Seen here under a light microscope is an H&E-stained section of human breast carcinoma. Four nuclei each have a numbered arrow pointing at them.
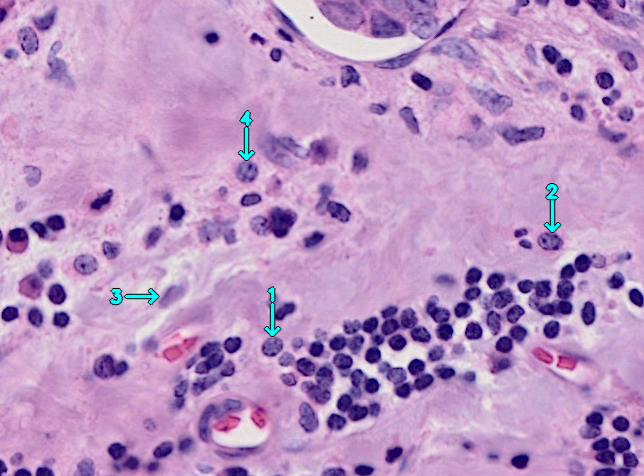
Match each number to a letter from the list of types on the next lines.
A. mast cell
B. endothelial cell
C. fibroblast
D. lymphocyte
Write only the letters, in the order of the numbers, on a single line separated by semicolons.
D; A; C; A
